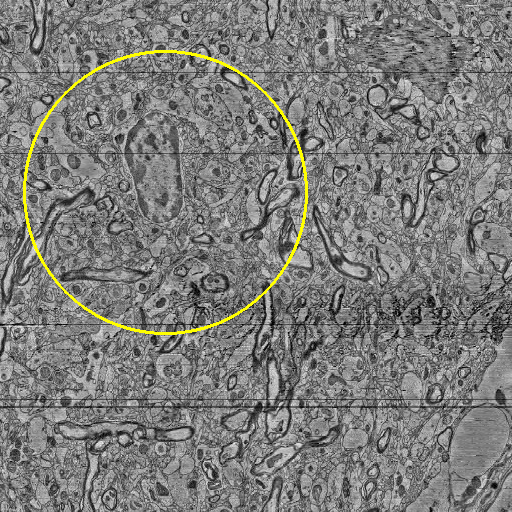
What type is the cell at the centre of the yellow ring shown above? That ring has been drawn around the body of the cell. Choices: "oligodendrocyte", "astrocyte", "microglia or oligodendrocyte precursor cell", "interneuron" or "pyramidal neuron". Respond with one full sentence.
My answer is that a microglial cell or oligodendrocyte precursor cell lies at the centre of the yellow ring above.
